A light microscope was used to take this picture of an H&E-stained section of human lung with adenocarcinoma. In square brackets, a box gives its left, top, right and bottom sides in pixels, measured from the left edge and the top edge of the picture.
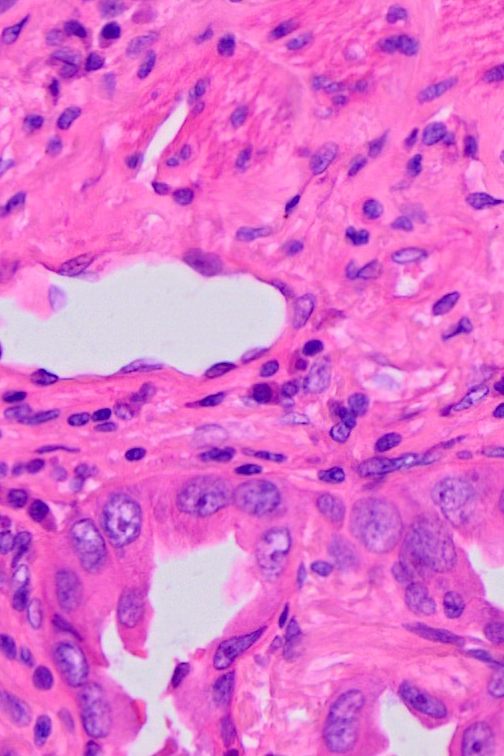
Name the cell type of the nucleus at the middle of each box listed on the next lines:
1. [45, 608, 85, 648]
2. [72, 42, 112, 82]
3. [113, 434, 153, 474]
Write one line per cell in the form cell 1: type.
cell 1: carcinoma cell
cell 2: plasma cell
cell 3: lymphocyte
